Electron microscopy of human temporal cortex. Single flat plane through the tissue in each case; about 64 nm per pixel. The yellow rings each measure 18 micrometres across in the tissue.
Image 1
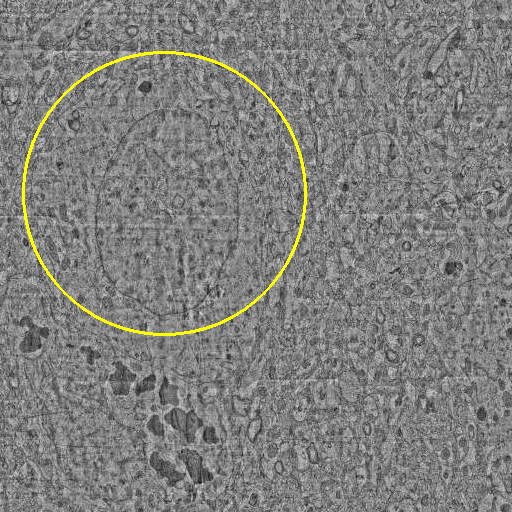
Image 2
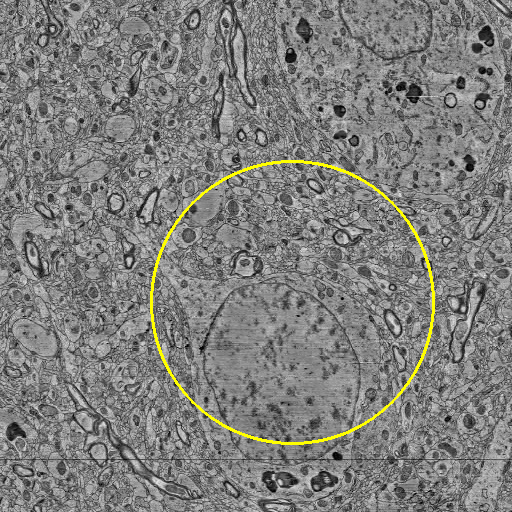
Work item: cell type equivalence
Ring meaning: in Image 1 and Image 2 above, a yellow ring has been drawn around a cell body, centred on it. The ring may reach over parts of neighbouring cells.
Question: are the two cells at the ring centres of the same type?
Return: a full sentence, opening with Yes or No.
Yes, the two centred cells are of the same type.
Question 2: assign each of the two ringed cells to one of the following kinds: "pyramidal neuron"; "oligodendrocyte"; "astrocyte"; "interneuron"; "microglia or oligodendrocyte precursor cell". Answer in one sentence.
Both pictures show a pyramidal neuron at the centre of the ring.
